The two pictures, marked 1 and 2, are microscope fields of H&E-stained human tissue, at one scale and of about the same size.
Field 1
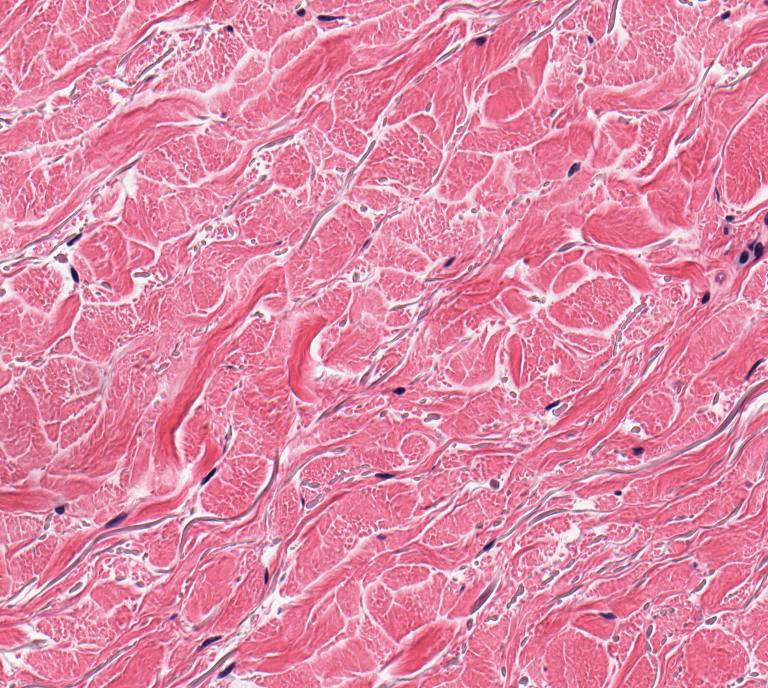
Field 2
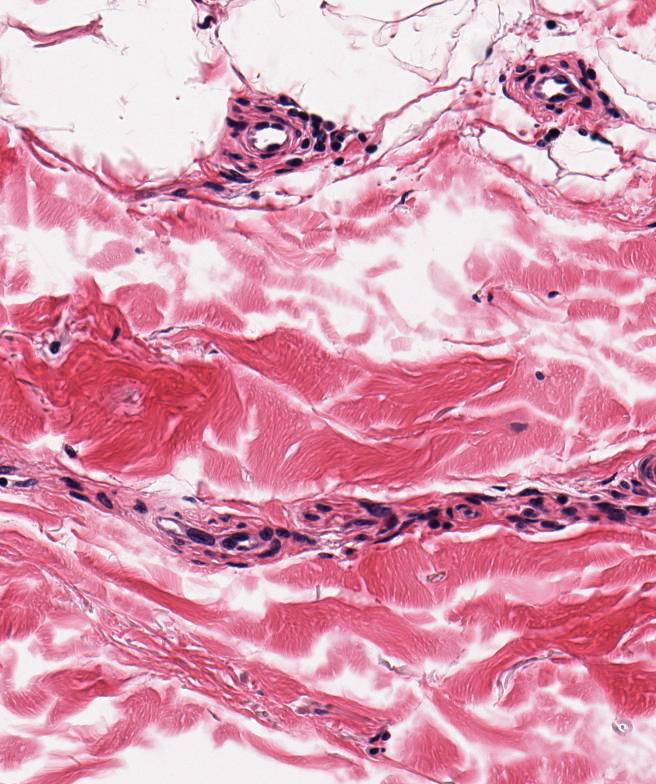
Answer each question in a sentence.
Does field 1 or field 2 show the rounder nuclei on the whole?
On the whole the nuclei of field 2 are rounder than those of field 1.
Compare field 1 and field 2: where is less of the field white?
Field 1 has less white space.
